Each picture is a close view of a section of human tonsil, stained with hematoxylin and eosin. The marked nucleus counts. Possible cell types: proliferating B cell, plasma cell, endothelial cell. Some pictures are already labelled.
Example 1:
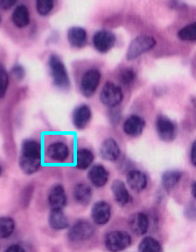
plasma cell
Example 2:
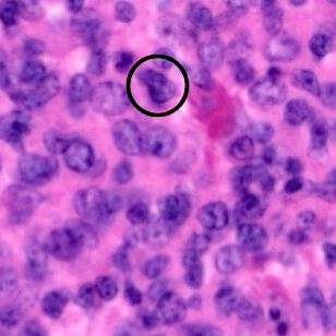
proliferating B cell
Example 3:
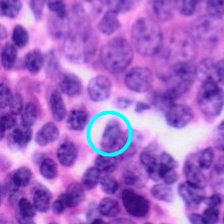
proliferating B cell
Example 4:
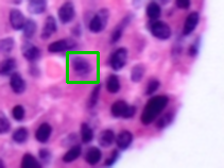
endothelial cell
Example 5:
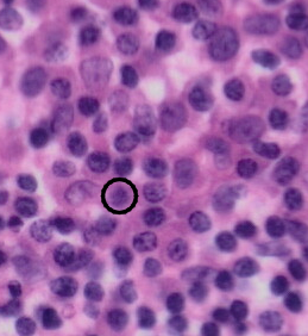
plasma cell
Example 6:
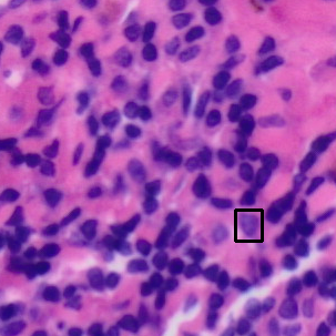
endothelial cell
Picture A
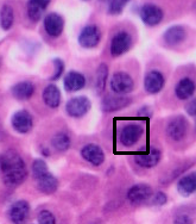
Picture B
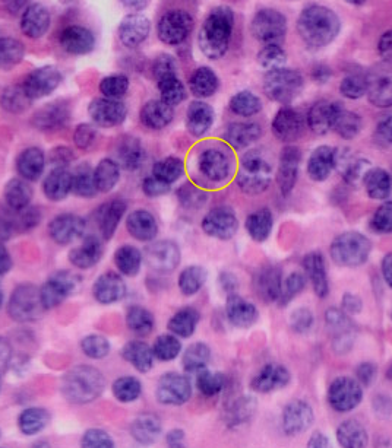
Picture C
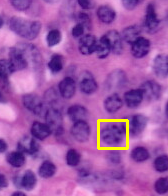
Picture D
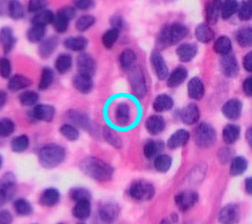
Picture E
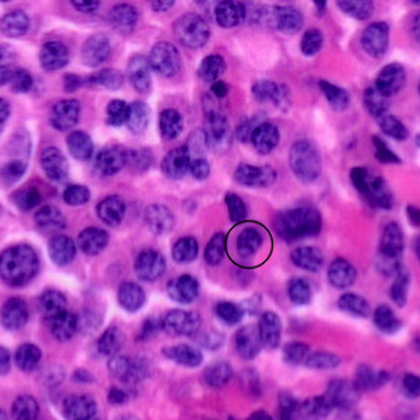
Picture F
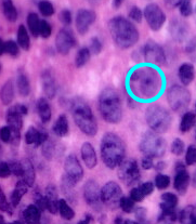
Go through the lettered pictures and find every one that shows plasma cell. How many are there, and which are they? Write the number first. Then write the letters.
Count: 4 (A, B, C, E)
